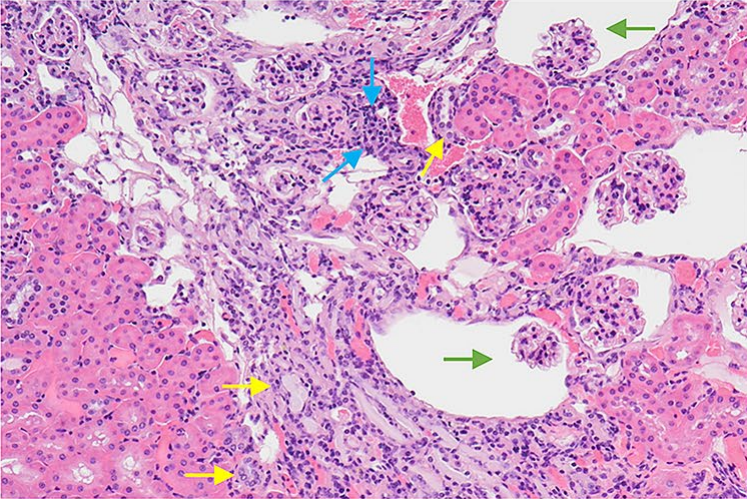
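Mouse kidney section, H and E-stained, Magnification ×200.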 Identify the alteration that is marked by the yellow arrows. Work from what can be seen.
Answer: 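The lower yellow arrows point to tubules that stain more purple than the pink neighbouring tubules. These tubules have crowded nuclei and scant cytoplasm.
Conclusion: tubular basophilia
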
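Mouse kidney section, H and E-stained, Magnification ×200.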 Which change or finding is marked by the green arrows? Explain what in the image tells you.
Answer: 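The green arrows point to small, shrunken glomerular tufts. Each tuft sits inside a wide, empty, clear space much larger than the tuft.
Glomerular atrophy and dilated Bowman’s space.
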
